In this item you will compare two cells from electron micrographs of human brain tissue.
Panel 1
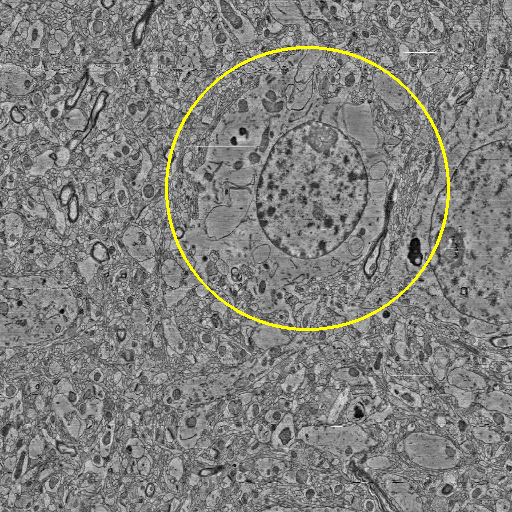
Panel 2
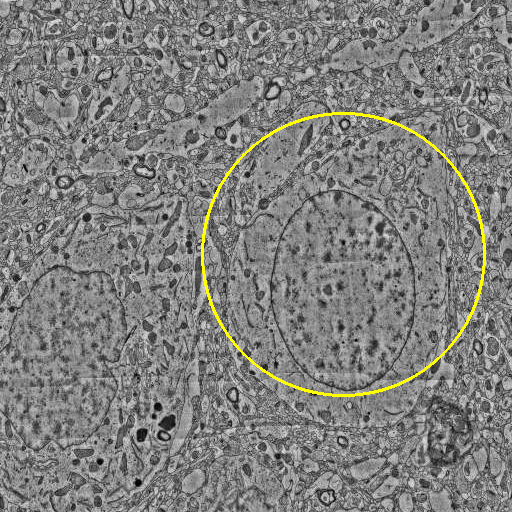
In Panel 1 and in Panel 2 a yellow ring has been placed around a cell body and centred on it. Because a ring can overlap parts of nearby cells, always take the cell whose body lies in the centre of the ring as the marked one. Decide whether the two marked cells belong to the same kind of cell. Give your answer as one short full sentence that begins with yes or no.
No, the two marked cells belong to two kinds of cell.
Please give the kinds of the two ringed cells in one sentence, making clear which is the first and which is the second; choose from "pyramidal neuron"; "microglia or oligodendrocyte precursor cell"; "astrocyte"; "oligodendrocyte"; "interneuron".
In the second picture the ringed cell is a pyramidal neuron; in the first it is an astrocyte.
